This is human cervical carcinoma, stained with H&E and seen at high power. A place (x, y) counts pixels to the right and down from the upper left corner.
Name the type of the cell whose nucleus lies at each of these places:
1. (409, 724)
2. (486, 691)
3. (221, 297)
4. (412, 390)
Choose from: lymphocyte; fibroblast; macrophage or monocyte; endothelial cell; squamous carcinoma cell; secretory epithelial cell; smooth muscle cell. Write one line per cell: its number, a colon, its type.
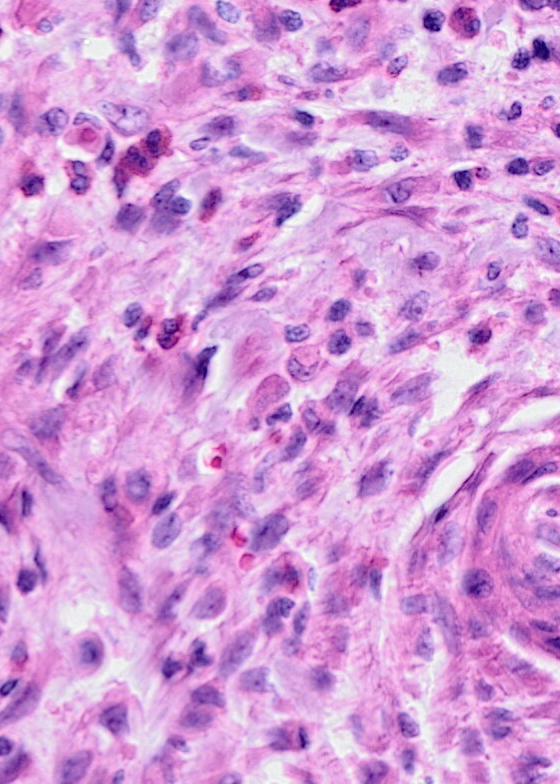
1: macrophage or monocyte
2: fibroblast
3: fibroblast
4: fibroblast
